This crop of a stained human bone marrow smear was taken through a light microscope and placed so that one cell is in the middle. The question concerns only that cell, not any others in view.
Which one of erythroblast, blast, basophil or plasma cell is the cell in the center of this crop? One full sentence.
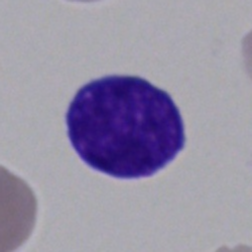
The crop's centre is taken up by a blast.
